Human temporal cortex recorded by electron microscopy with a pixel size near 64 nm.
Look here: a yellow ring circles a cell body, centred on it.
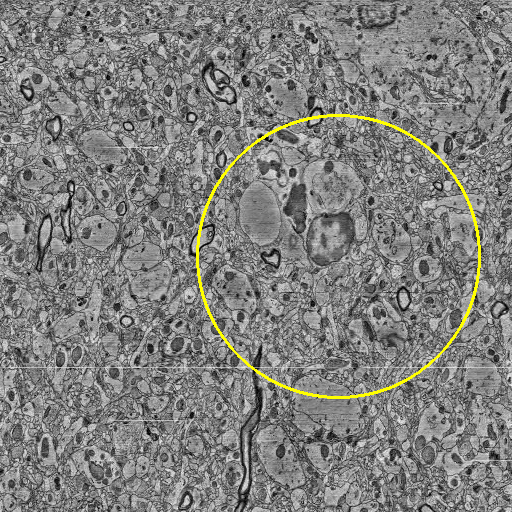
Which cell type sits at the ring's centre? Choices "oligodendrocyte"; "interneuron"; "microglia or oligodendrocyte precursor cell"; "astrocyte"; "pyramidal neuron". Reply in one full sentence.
The cell at the centre of the yellow ring in the picture is a microglial cell or oligodendrocyte precursor cell.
